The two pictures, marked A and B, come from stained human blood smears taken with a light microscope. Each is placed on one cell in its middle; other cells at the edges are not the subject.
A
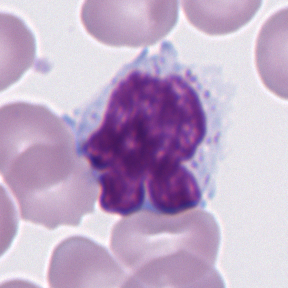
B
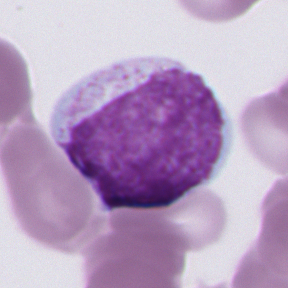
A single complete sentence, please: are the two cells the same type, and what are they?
No, crop A shows a large granular lymphocyte and crop B a myelocyte.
